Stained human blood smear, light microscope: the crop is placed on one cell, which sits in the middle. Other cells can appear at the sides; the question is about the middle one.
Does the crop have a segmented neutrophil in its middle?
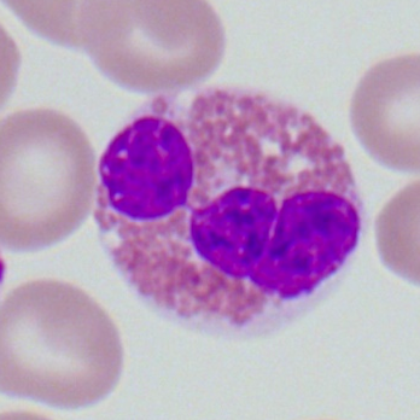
no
